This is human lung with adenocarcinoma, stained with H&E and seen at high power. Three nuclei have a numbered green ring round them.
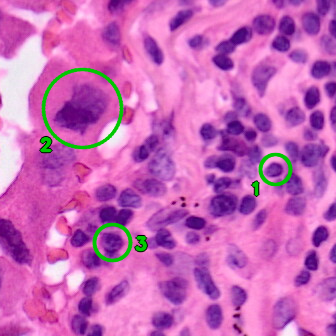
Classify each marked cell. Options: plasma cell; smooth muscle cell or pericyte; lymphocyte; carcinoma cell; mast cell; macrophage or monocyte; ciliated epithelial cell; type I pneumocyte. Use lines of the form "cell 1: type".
cell 1: lymphocyte
cell 2: carcinoma cell
cell 3: lymphocyte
